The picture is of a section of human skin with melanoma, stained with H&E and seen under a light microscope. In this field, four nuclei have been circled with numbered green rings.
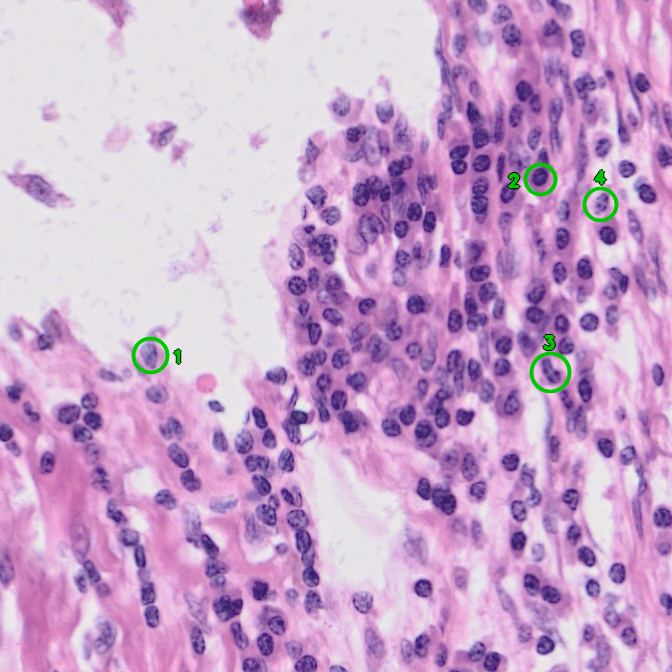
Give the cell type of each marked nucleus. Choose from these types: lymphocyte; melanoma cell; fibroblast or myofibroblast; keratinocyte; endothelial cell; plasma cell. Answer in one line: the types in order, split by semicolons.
lymphocyte; plasma cell; plasma cell; plasma cell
